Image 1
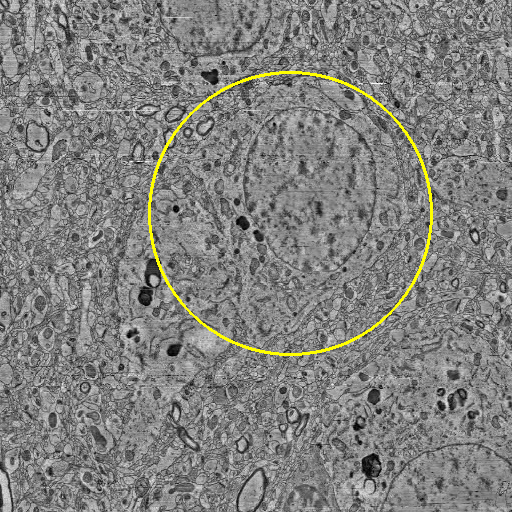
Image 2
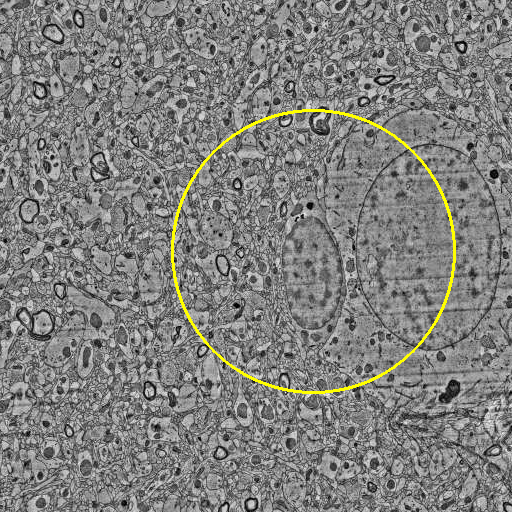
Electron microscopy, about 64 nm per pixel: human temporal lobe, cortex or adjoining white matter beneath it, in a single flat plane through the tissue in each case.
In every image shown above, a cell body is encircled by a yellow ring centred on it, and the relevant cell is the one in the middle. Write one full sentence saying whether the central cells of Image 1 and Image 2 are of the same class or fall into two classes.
The cell at the ring's centre in Image 1 and its counterpart in Image 2 fall into two classes.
